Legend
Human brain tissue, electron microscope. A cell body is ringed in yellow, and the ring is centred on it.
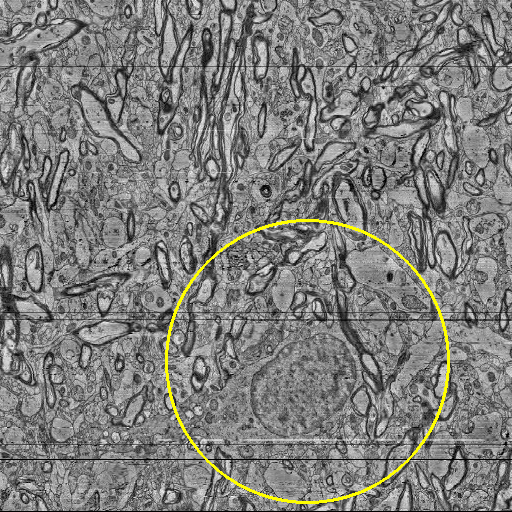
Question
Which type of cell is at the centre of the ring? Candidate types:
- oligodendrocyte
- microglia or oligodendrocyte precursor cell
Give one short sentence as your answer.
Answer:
The yellow ring is centred here on an oligodendrocyte.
